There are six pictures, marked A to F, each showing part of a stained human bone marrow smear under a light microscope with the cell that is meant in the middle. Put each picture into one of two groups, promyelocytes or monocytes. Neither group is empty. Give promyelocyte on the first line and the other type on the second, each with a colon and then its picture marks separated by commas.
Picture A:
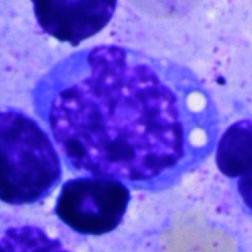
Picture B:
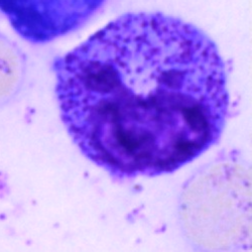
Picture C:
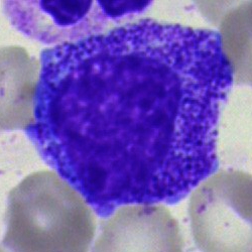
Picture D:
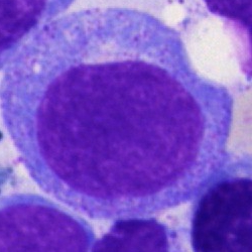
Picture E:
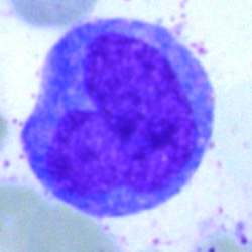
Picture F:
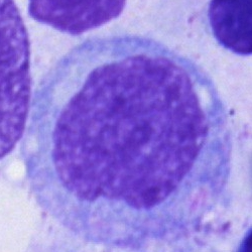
promyelocyte: B, C, D
monocyte: A, E, F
